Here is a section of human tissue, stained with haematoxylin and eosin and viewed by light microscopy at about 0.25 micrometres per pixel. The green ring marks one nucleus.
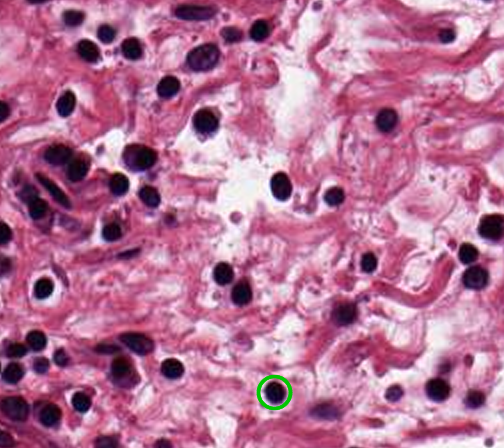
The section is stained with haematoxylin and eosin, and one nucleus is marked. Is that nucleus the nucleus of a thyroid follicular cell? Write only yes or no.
no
